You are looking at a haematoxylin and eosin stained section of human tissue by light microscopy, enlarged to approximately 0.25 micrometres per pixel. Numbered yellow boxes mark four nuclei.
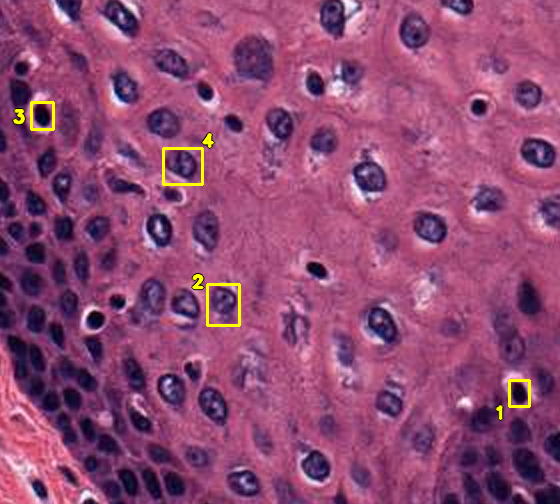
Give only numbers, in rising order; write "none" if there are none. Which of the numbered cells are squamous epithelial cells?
2, 4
